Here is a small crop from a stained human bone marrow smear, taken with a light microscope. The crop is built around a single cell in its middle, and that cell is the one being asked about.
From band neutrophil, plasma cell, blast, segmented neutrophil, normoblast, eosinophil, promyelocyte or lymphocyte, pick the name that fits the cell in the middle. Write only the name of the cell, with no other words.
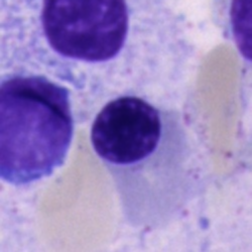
normoblast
